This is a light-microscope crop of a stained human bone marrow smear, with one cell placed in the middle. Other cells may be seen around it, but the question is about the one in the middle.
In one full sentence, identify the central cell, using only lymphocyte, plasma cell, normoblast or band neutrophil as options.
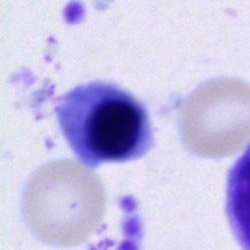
Classification of the middle cell gives a normoblast.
